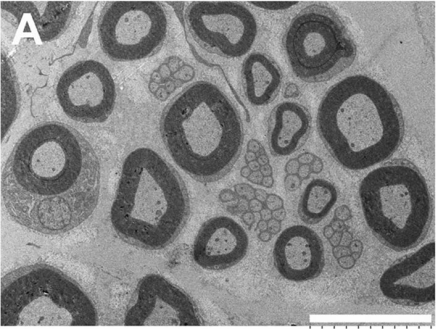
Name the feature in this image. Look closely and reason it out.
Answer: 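Round profiles of pale axoplasm each surrounded by a thick, uniformly dark ring. Profiles of many different sizes lie separated by pale connective tissue. The answer: myelinated nerve fibers.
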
